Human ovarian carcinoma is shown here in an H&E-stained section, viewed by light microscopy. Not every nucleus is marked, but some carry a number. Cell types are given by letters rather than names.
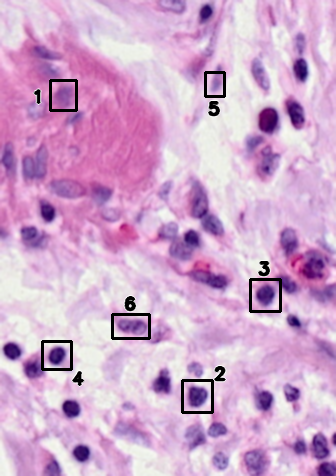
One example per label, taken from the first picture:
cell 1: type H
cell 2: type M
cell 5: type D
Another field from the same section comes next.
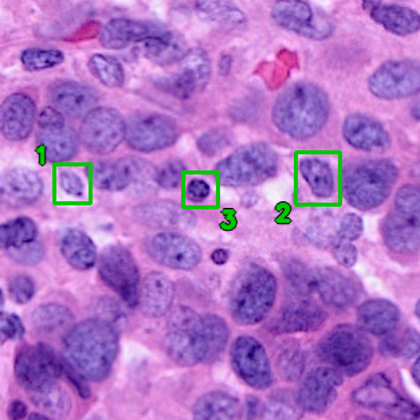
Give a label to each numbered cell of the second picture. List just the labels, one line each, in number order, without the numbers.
type D
type D
type M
